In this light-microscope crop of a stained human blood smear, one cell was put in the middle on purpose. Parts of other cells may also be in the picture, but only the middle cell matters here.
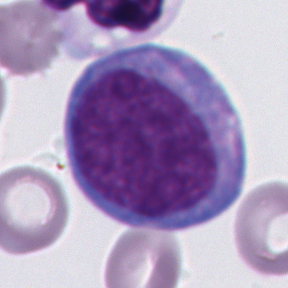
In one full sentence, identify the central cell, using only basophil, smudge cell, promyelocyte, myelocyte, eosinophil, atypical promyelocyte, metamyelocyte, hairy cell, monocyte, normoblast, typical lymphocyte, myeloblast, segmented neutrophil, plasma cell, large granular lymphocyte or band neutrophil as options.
The cell of interest, located centrally, is a promyelocyte.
